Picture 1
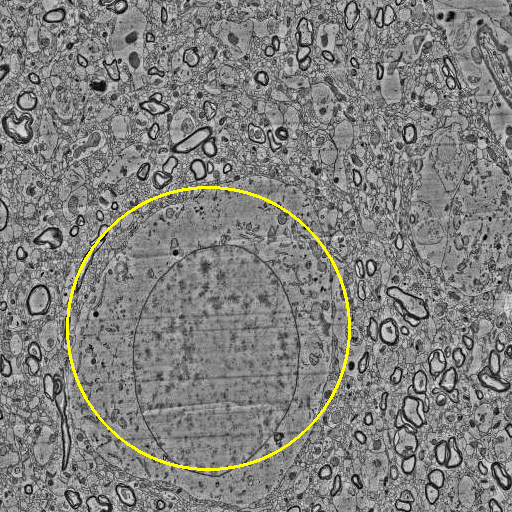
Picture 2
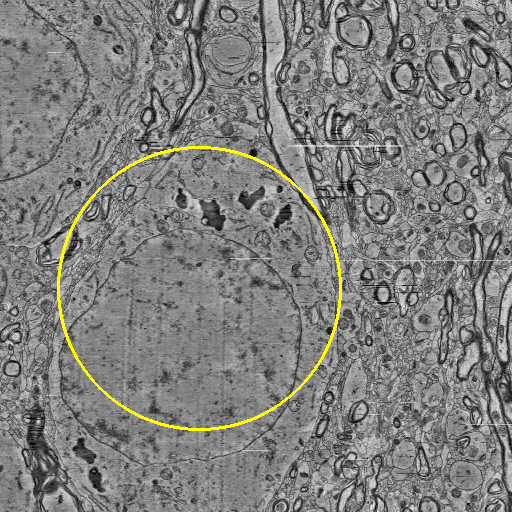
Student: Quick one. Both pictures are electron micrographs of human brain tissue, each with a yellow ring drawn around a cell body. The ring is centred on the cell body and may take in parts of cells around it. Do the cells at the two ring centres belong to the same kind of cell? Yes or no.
yes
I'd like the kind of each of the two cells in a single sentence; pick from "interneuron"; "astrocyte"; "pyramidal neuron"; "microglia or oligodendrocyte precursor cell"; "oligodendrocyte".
Both the first and the second picture show a pyramidal neuron in the ring.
